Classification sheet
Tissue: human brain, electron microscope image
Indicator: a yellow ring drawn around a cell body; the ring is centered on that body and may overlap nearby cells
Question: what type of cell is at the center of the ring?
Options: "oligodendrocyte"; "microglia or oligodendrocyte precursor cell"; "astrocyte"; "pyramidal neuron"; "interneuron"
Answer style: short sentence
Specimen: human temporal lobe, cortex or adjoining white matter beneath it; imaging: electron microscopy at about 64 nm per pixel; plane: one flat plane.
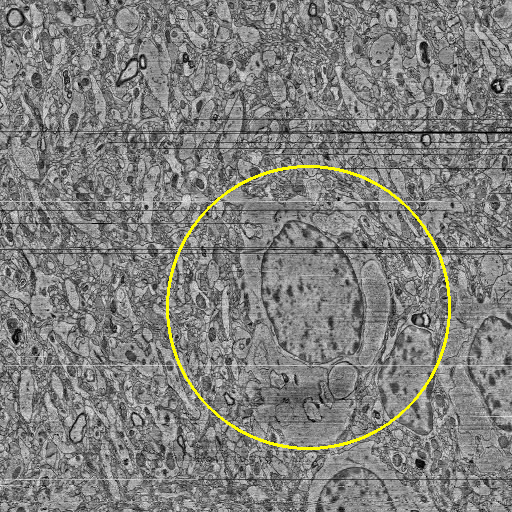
At the ring's center is an astrocyte.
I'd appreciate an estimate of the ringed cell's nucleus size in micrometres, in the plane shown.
In this plane the nucleus measures about 10 by 6 micrometres and is clearly longer than it is wide.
